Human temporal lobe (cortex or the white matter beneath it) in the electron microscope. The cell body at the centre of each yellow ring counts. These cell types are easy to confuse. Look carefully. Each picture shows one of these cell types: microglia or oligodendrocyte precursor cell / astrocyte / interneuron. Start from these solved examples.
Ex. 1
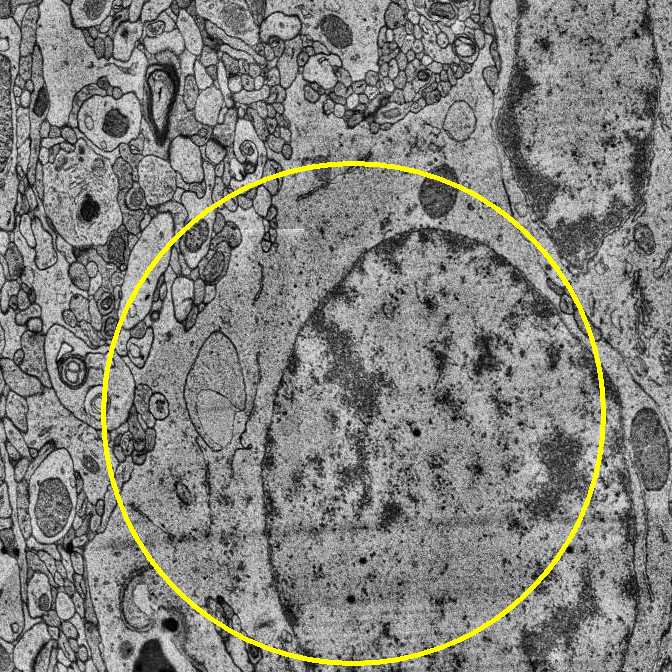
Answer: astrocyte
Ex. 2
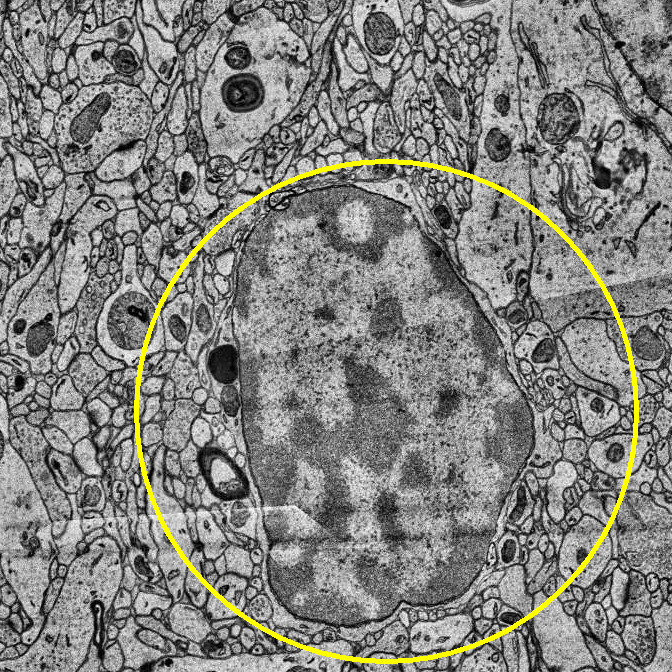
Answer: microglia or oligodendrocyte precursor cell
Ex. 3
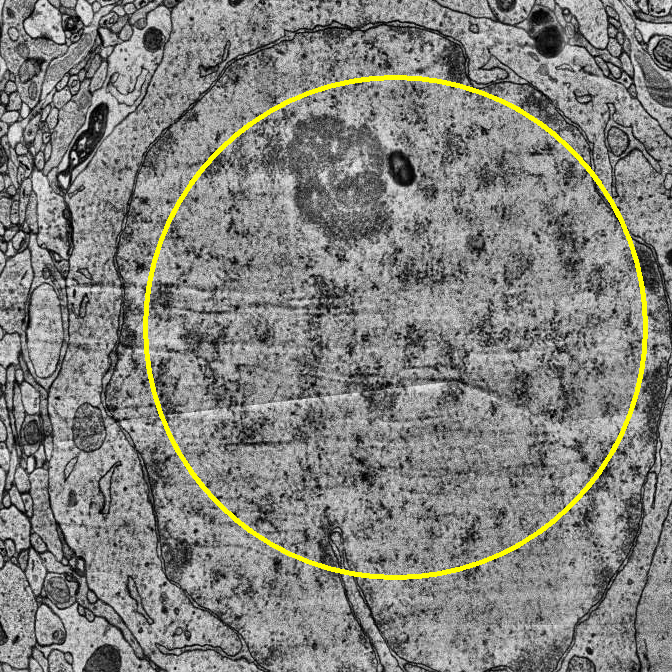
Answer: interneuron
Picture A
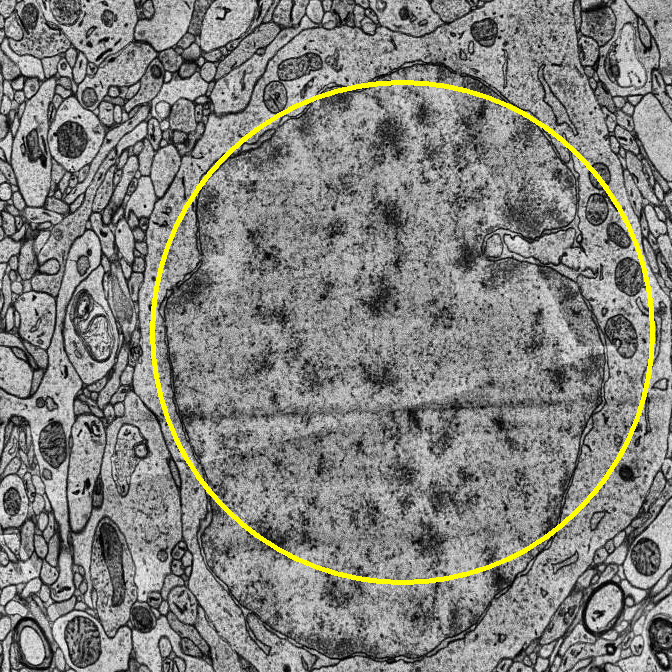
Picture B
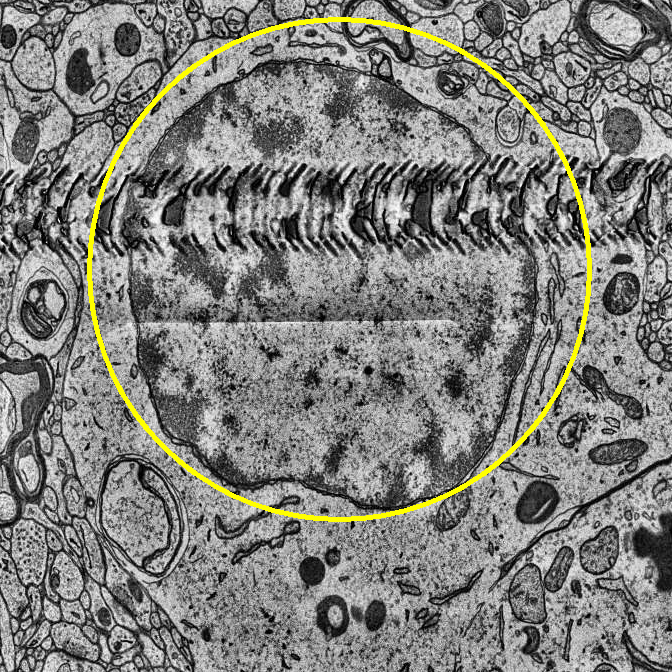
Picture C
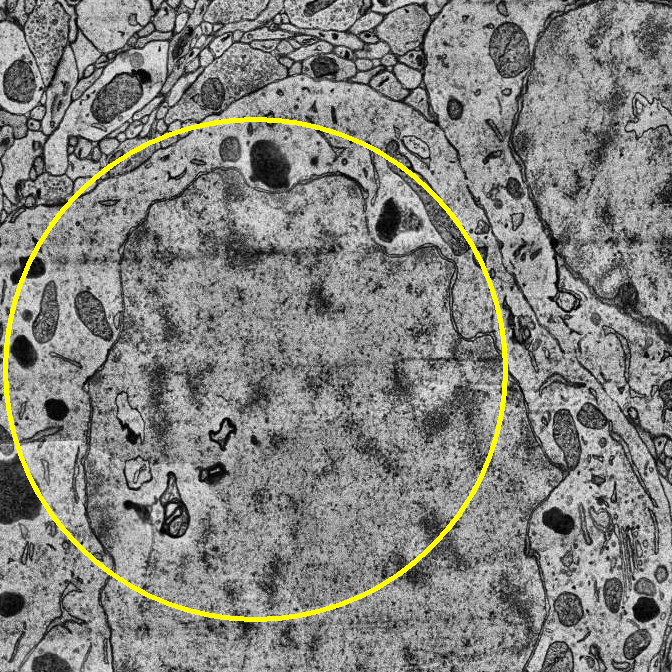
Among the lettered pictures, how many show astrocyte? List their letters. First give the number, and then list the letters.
0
